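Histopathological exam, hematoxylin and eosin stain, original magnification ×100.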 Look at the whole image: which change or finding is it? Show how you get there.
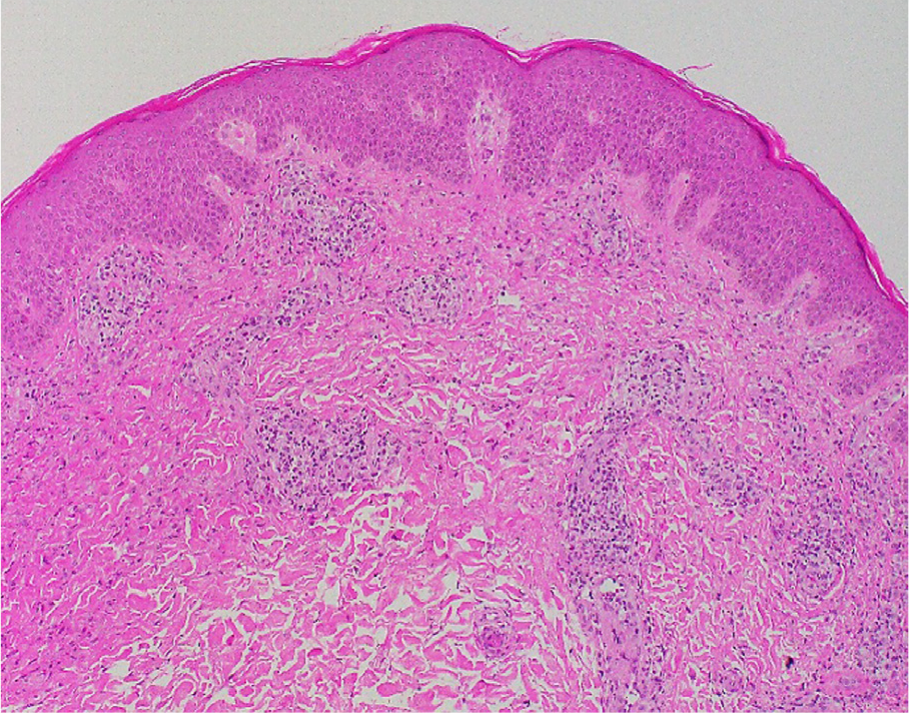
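Dense clusters of small dark-nucleated cells lie in rounded aggregates scattered through the dermis. The aggregates surround small vessel profiles rather than filling the dermis evenly. The collagen between the aggregates is relatively free of cells.
Hence: perivascular inflammation.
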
